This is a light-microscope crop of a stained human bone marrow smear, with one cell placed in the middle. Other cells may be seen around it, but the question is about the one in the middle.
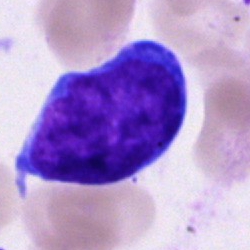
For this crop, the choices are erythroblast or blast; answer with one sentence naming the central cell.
Here the cell in the middle is a blast.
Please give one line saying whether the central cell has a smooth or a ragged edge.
Its outline is ragged or drawn out into projections, not smooth.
